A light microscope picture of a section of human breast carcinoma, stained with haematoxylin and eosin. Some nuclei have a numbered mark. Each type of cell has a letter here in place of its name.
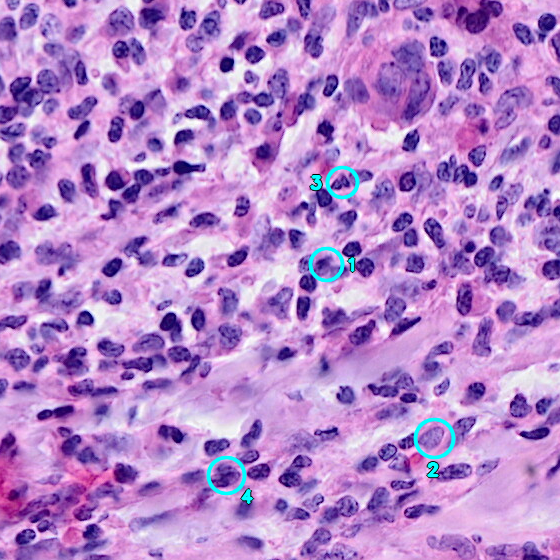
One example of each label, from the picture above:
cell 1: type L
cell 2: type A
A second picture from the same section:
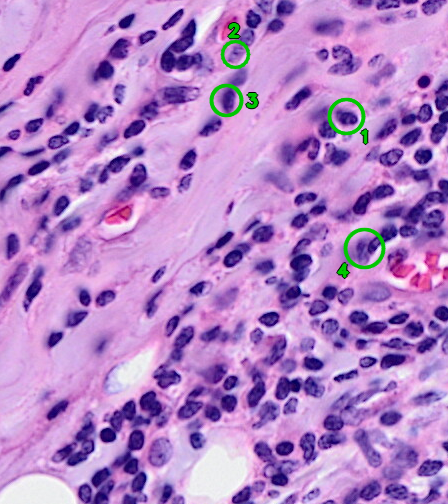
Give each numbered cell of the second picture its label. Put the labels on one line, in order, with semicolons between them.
type L; type A; type L; type L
